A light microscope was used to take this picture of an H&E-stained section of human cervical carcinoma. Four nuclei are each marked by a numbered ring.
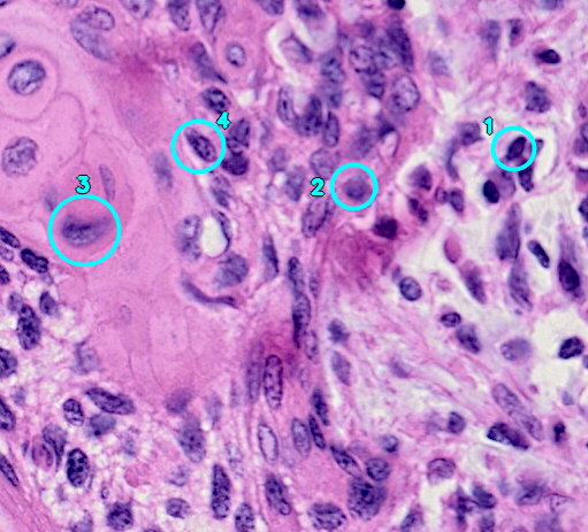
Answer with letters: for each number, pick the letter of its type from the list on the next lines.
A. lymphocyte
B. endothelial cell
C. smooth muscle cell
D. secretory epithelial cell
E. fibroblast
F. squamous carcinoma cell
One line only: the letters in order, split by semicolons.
A; F; F; F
